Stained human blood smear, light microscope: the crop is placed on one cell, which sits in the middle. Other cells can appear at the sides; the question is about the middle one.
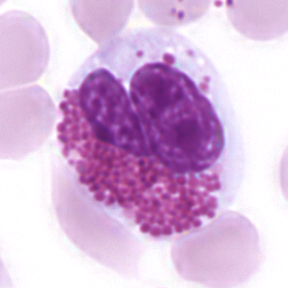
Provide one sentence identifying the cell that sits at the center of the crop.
The crop shows an eosinophil in its centre.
